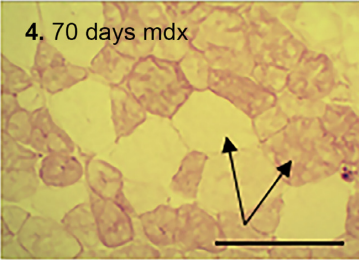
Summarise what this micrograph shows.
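Cross-section of skeletal muscle showing polygonal muscle fibers cut transversely, forming a mosaic of differently stained fibers. Some fibers are pale yellowish with little stain, while others are darker pink-purple with a granular interior and distinct darker rims. Dark and pale fibers lie intermixed and side by side. Fiber sizes vary, with several large pale fibers among smaller, more darkly stained ones. Two black arrows point to neighbouring fibers of differing staining intensity. Thin interstitial spaces separate the fibers.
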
